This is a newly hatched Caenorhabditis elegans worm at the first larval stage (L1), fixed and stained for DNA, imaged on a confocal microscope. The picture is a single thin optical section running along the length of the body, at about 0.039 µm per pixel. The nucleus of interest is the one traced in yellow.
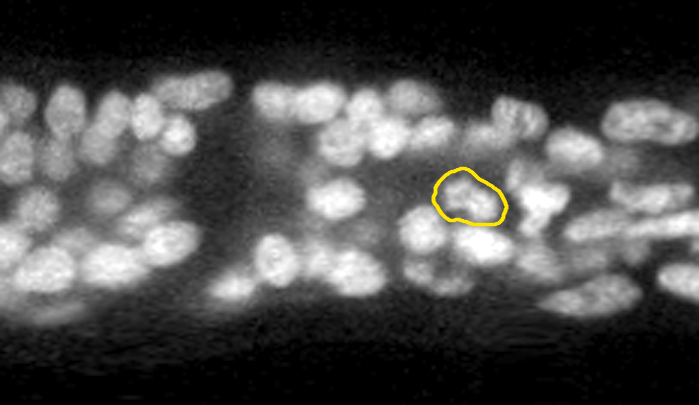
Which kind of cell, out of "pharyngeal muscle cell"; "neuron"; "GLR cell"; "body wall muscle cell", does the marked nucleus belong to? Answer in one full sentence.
The marked cell is a pharyngeal muscle cell.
